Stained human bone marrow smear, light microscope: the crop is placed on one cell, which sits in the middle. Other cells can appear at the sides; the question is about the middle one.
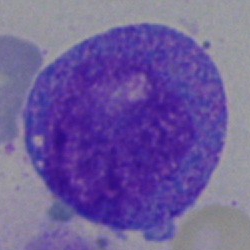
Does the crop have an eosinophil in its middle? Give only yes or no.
no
